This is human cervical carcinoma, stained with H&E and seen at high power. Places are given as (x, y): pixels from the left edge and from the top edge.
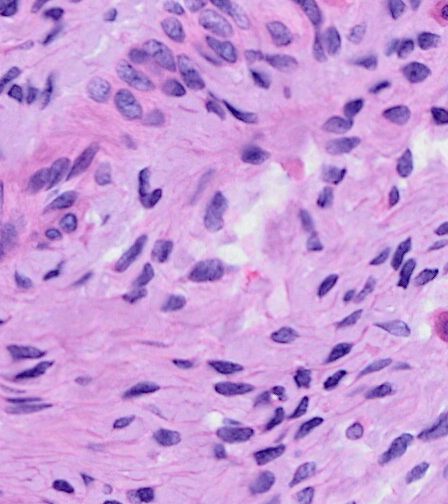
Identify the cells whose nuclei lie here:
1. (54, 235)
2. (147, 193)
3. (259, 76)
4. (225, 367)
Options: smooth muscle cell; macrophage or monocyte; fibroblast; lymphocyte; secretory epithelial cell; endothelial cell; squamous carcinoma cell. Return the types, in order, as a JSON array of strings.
["smooth muscle cell", "fibroblast", "fibroblast", "fibroblast"]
